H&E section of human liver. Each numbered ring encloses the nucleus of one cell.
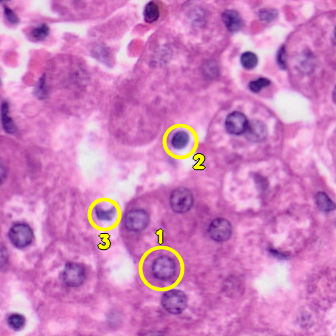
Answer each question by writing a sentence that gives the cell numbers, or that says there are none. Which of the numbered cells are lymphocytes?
It is cell 2, and no other numbered cell, that is a lymphocyte.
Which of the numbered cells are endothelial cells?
Cell 3 is an endothelial cell; the remaining numbered cells are not.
